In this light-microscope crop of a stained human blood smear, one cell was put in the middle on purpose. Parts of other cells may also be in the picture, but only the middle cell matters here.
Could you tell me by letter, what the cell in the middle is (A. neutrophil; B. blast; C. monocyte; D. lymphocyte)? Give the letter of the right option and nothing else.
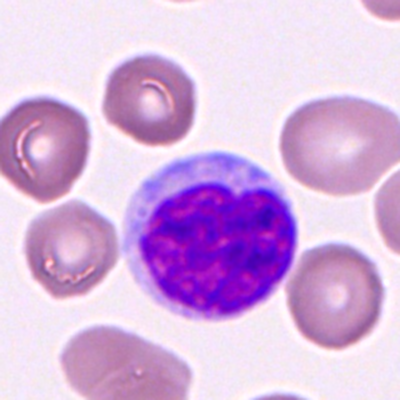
D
